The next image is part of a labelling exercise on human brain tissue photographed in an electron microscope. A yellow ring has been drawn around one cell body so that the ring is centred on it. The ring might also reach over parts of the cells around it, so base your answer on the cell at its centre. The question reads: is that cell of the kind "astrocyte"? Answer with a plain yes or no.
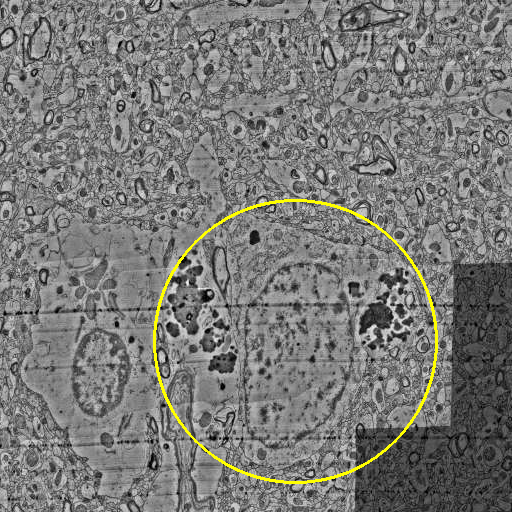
no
